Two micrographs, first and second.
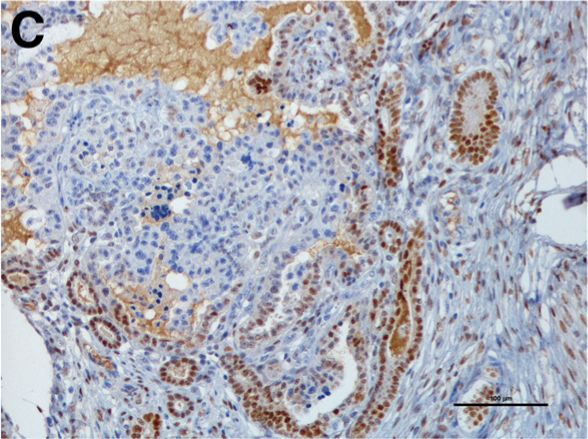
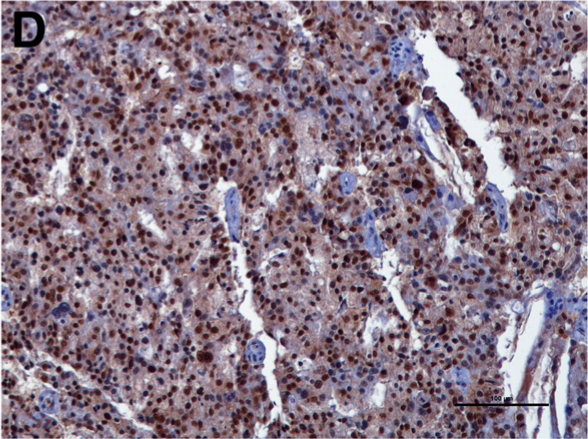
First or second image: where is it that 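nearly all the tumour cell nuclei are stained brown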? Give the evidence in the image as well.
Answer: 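First image: the central nest of tumour cells has blue nuclei, only the surrounding glands are brown. Second image: the sheet of tumour cells shows brown nuclei almost throughout.
Answer: the second image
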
